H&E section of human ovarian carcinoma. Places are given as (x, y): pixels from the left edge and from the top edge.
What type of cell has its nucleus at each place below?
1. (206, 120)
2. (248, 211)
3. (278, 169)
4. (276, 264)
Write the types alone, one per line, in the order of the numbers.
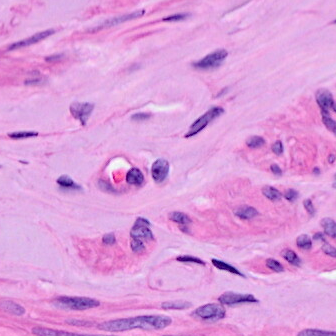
fibroblast
smooth muscle cell
smooth muscle cell
smooth muscle cell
